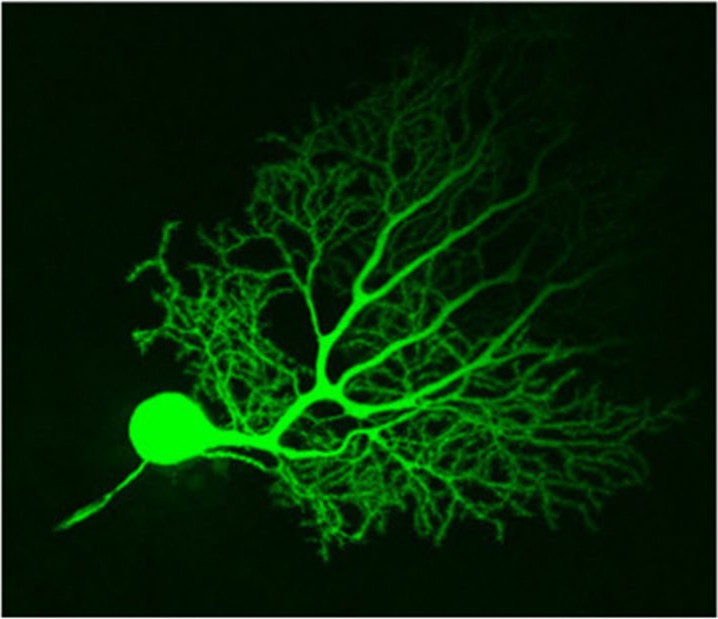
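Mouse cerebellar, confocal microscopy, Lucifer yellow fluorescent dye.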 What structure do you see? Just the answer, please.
Dendritic branching structure.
